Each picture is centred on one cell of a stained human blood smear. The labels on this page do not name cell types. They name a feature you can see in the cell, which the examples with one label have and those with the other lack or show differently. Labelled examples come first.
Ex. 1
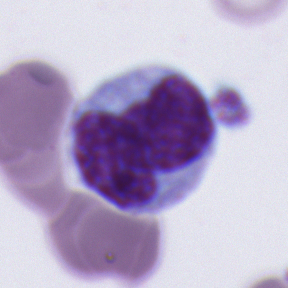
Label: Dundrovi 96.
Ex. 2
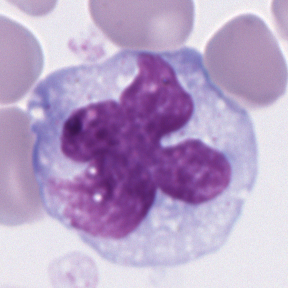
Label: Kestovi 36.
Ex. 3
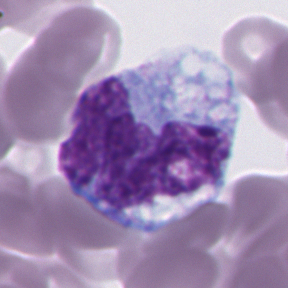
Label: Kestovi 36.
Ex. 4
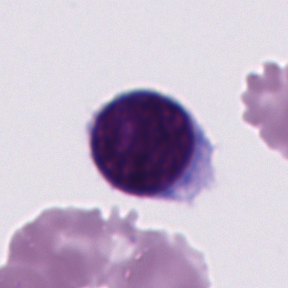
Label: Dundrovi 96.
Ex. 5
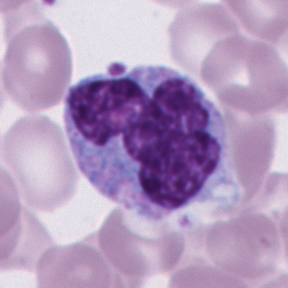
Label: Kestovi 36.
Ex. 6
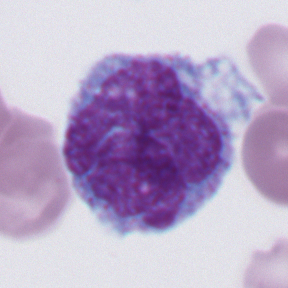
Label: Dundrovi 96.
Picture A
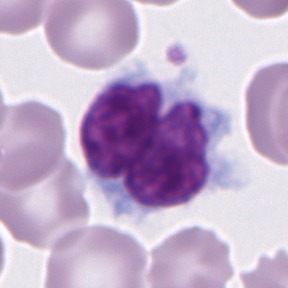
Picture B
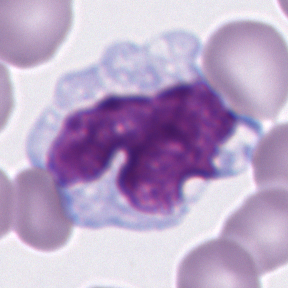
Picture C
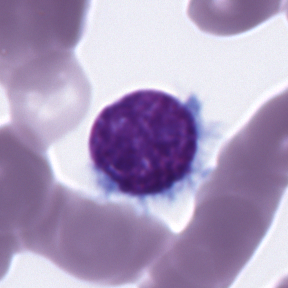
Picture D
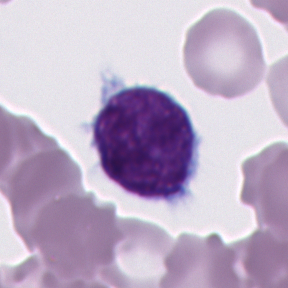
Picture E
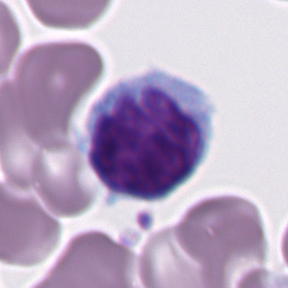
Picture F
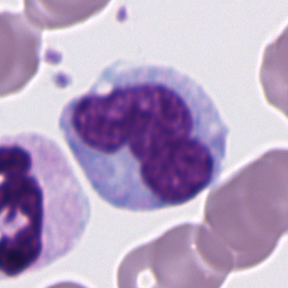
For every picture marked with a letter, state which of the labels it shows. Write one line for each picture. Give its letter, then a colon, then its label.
A: Dundrovi 96.
B: Kestovi 36.
C: Dundrovi 96.
D: Dundrovi 96.
E: Dundrovi 96.
F: Kestovi 36.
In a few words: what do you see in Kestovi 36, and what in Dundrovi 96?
Seen in Kestovi 36: abundant cytoplasm; seen in Dundrovi 96: scant cytoplasm.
